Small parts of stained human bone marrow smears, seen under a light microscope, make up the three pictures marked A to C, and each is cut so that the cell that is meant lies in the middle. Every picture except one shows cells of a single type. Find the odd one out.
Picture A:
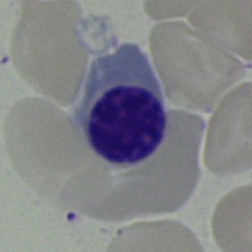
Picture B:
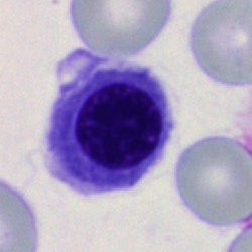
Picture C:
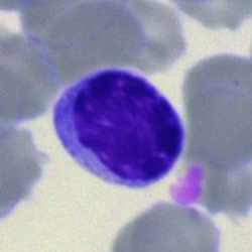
C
